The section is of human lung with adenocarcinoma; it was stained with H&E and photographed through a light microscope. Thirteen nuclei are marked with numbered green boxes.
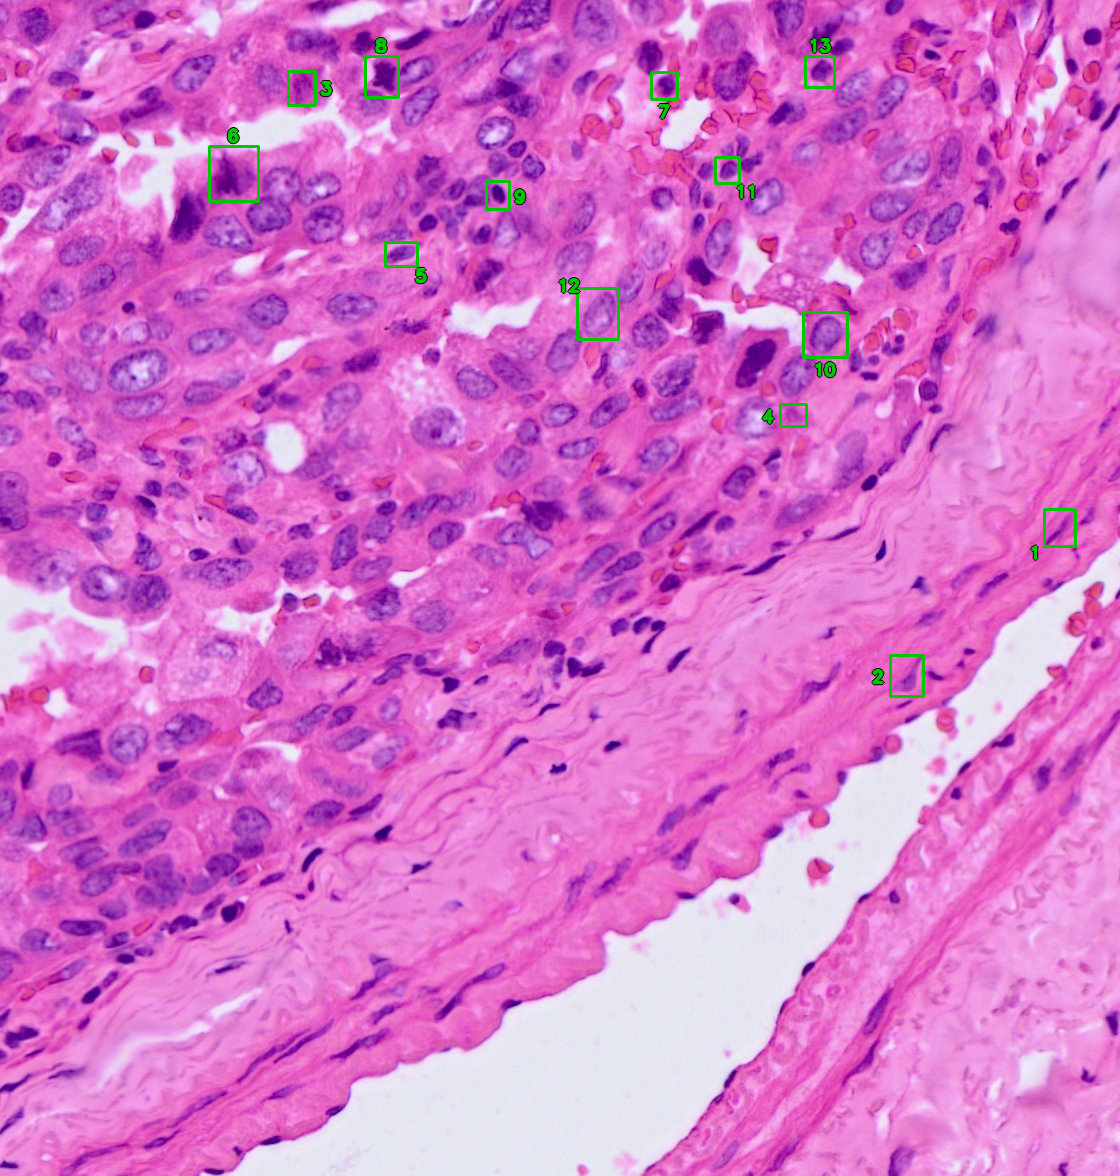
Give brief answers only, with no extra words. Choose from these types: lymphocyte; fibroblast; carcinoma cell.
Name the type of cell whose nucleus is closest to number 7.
carcinoma cell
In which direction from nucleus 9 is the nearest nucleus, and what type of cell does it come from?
a fibroblast, to the left of nucleus 9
